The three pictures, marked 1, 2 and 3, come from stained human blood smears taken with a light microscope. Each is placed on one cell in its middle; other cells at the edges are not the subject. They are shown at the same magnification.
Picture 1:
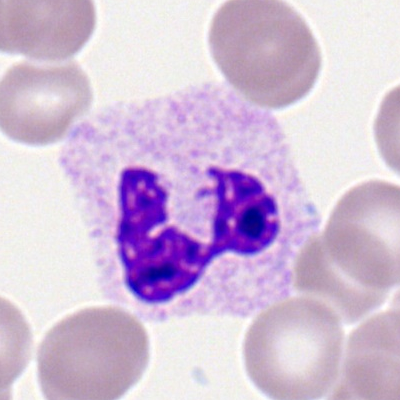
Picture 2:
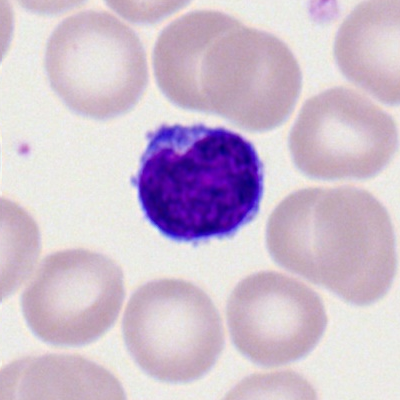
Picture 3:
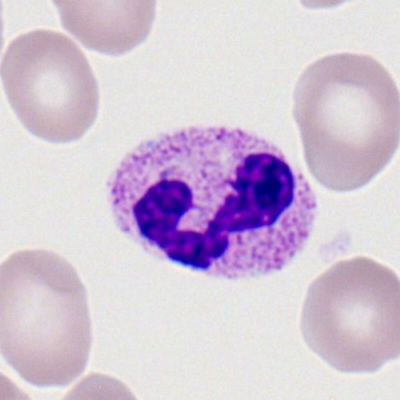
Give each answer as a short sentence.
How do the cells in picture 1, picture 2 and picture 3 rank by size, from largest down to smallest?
From the largest down, the order is 1, 3, 2.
